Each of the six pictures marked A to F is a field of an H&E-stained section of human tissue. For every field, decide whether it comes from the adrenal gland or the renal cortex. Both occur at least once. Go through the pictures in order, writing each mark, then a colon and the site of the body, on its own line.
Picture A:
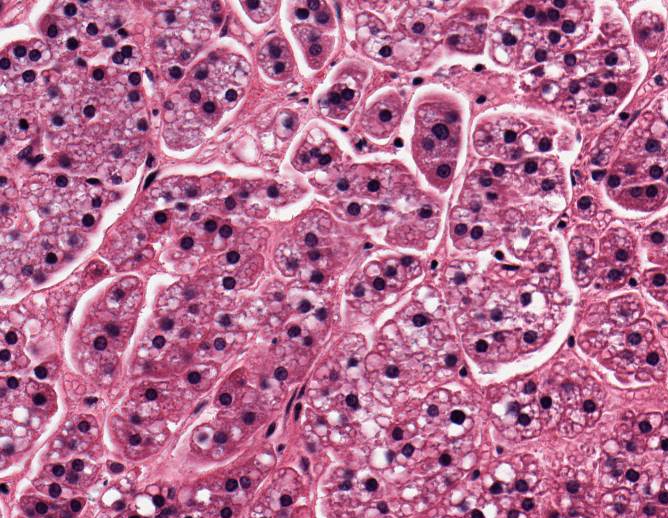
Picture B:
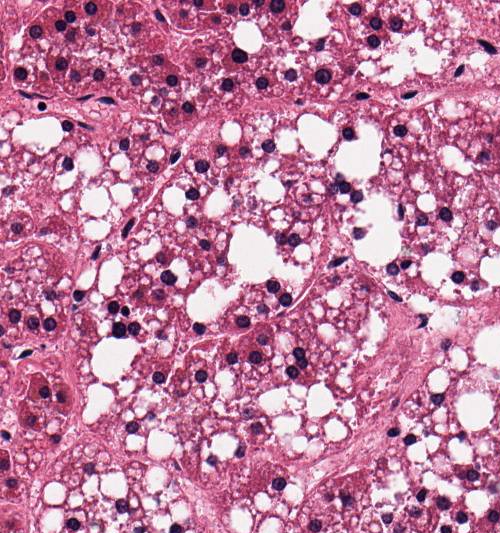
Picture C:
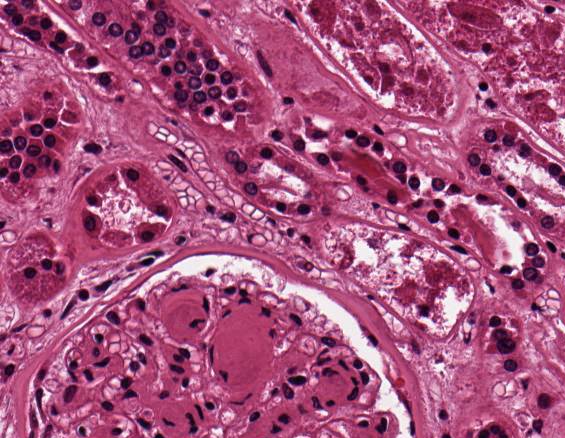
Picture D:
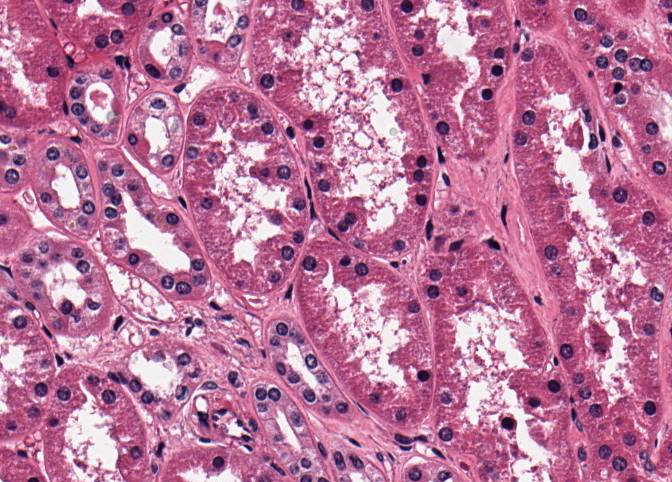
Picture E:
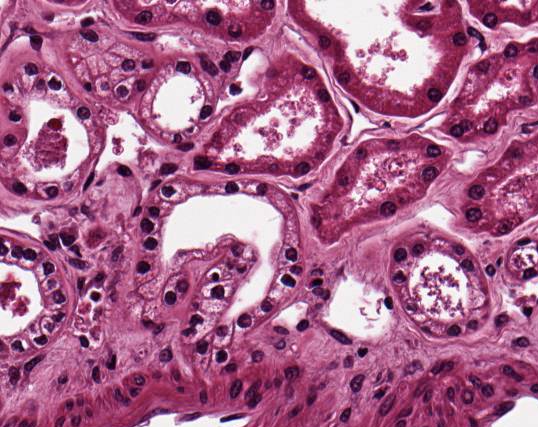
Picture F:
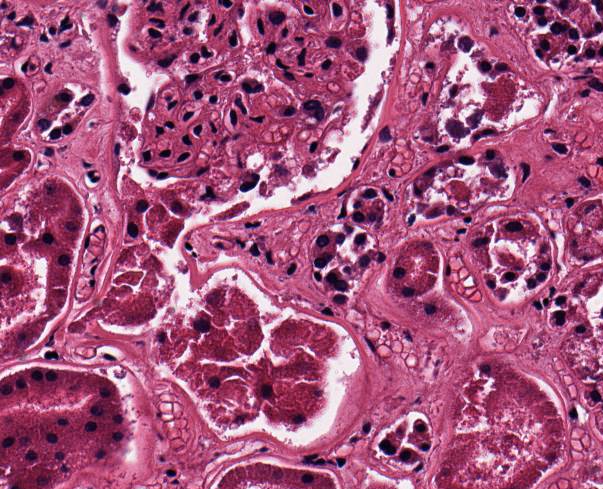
A: adrenal gland
B: adrenal gland
C: renal cortex
D: renal cortex
E: renal cortex
F: renal cortex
